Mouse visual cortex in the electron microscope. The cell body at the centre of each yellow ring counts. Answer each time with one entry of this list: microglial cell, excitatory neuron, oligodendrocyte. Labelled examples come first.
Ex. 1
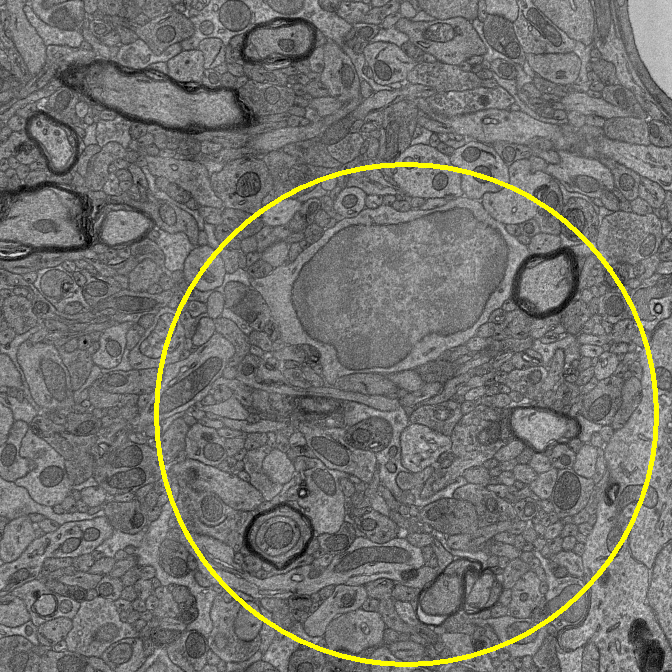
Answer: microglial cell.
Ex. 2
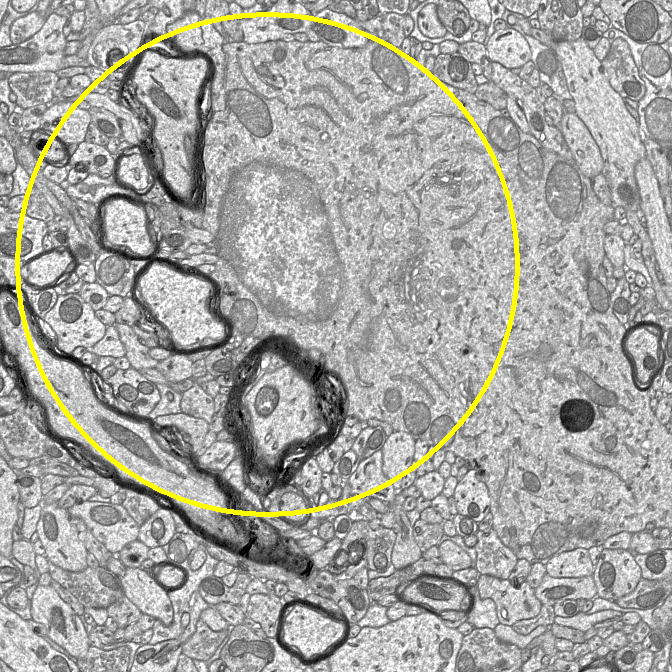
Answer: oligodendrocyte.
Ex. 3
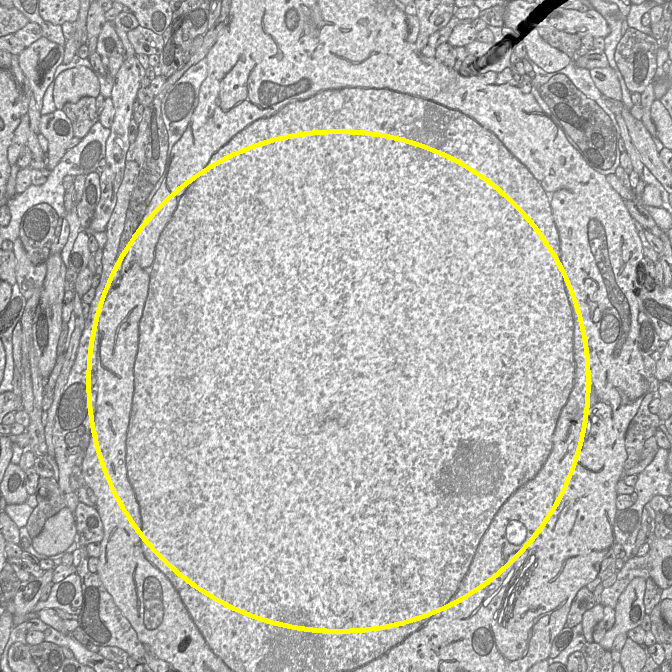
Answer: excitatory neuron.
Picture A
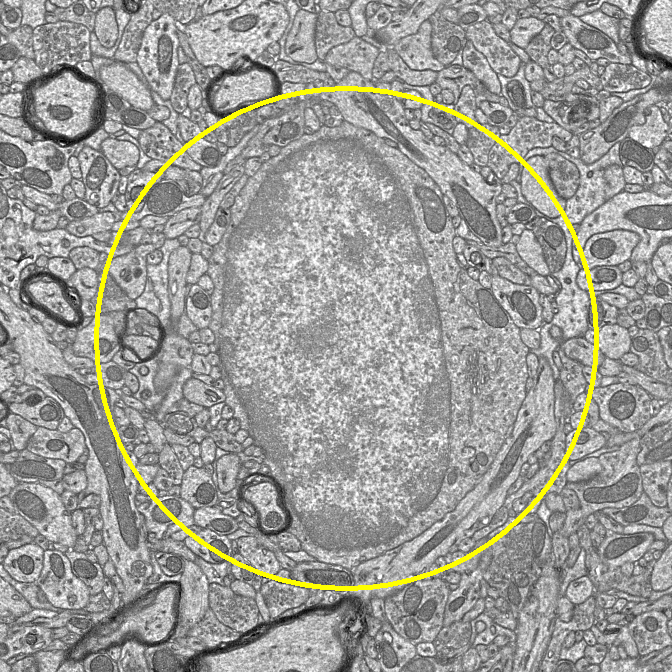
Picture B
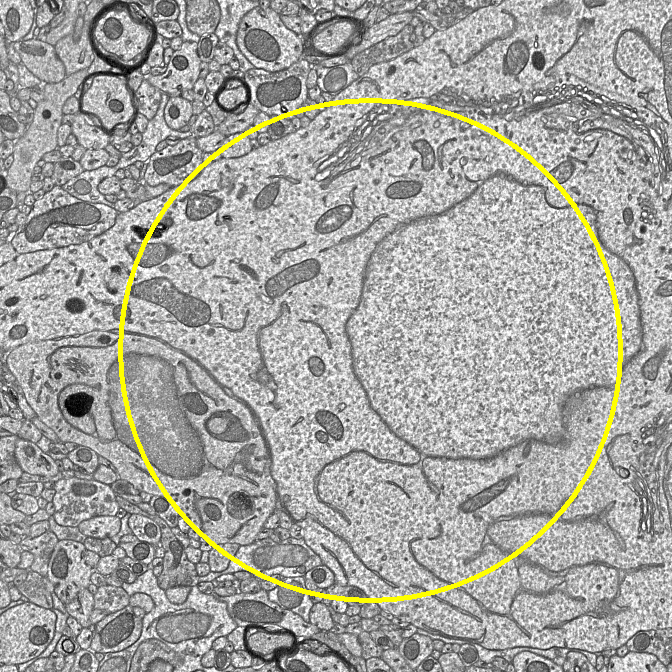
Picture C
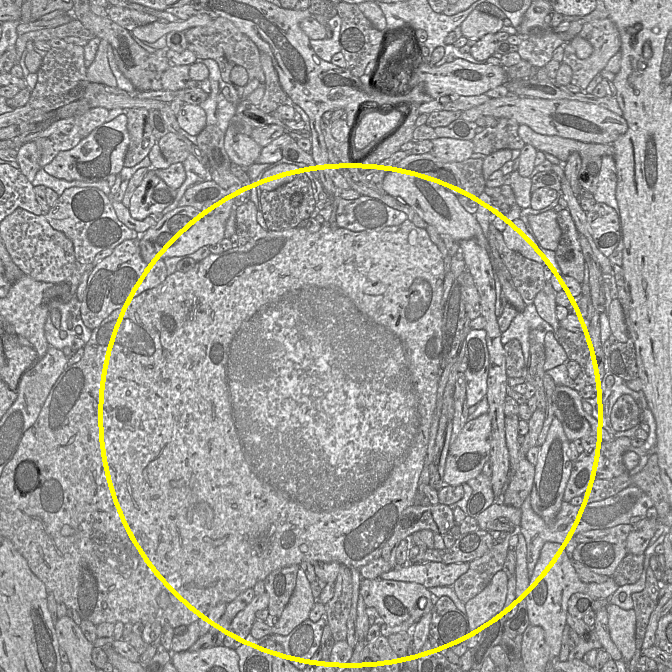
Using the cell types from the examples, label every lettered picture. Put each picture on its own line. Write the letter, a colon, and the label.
A: oligodendrocyte.
B: microglial cell.
C: oligodendrocyte.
